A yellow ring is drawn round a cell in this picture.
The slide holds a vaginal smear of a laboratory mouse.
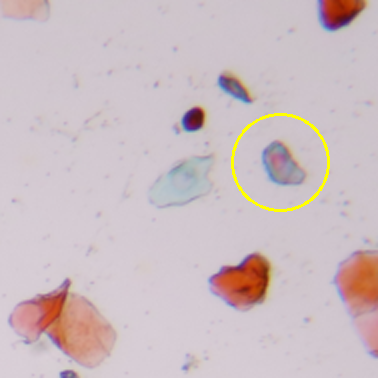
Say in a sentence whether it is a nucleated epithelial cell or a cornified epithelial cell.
The cell in the ring is a nucleated epithelial cell.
